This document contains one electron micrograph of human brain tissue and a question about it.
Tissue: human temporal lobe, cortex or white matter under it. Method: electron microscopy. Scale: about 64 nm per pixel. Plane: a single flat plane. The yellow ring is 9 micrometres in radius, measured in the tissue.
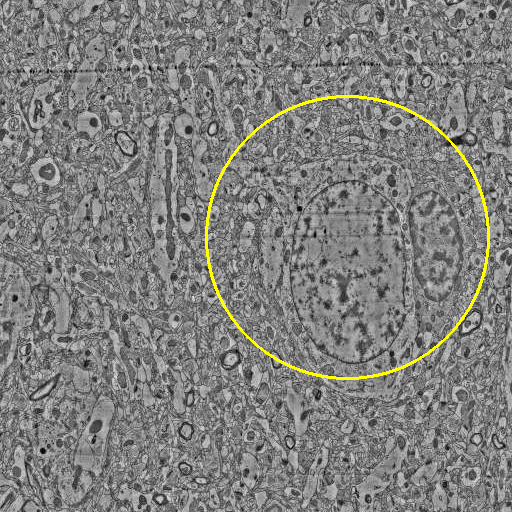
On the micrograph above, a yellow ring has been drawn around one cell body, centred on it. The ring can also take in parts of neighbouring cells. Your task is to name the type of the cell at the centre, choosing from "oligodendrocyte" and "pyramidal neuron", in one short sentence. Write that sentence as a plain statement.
Here the ring is centred on a pyramidal neuron.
